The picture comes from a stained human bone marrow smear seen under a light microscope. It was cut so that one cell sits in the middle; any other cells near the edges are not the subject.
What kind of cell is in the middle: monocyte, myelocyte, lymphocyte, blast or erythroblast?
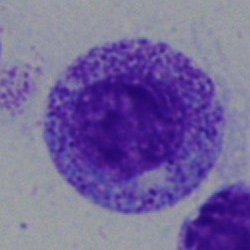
myelocyte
